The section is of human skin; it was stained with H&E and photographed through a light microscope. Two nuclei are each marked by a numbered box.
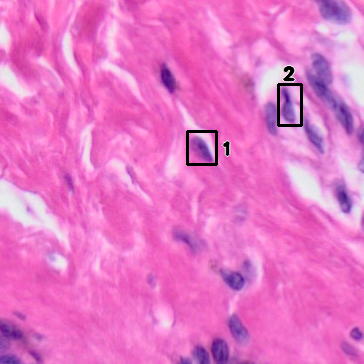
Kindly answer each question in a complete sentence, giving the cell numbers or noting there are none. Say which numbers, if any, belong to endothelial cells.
Cell 2 is an endothelial cell and is the only numbered cell of that kind.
